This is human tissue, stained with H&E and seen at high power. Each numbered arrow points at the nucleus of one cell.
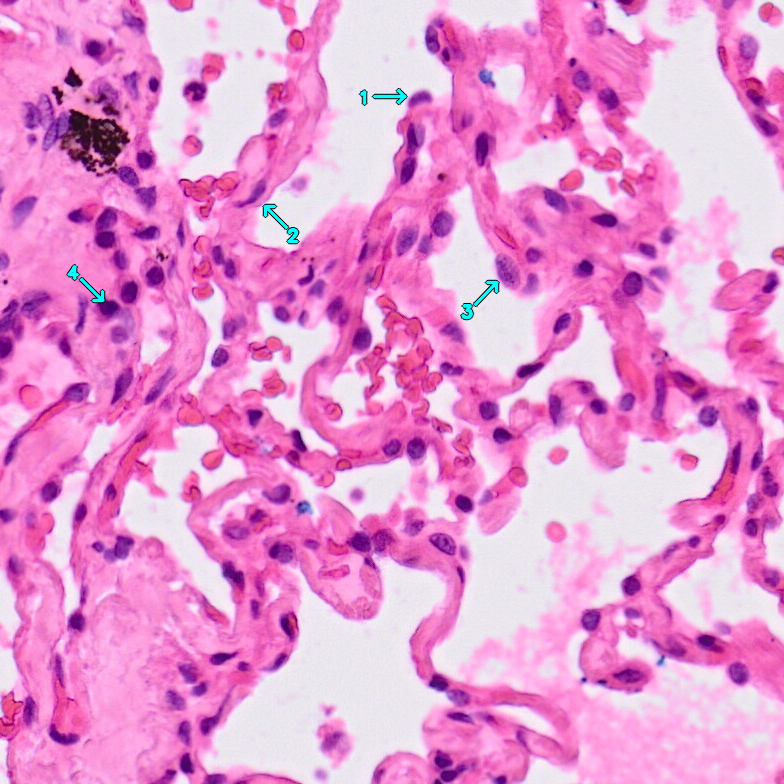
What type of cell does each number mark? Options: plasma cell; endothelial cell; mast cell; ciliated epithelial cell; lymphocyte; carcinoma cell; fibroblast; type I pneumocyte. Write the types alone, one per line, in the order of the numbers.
type I pneumocyte
endothelial cell
type I pneumocyte
plasma cell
